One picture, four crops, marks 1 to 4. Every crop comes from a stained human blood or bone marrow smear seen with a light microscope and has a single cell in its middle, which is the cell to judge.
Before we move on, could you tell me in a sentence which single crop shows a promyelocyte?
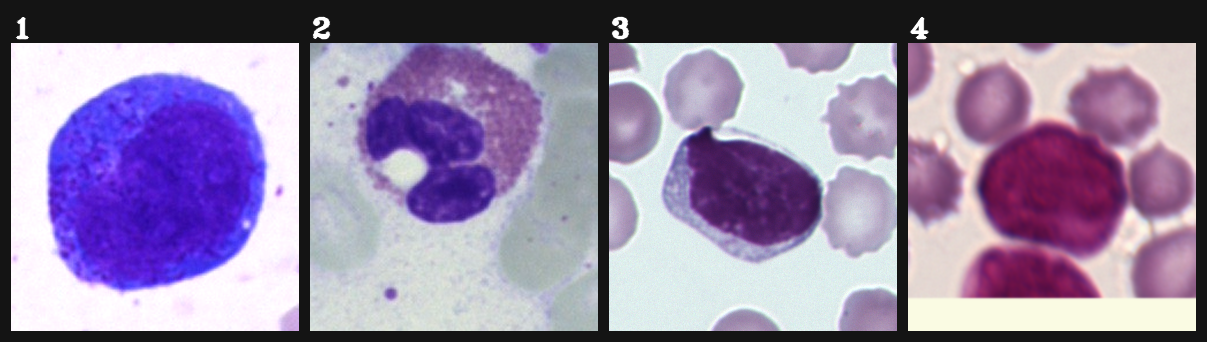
Crop 1 is the crop that shows a promyelocyte in its middle.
